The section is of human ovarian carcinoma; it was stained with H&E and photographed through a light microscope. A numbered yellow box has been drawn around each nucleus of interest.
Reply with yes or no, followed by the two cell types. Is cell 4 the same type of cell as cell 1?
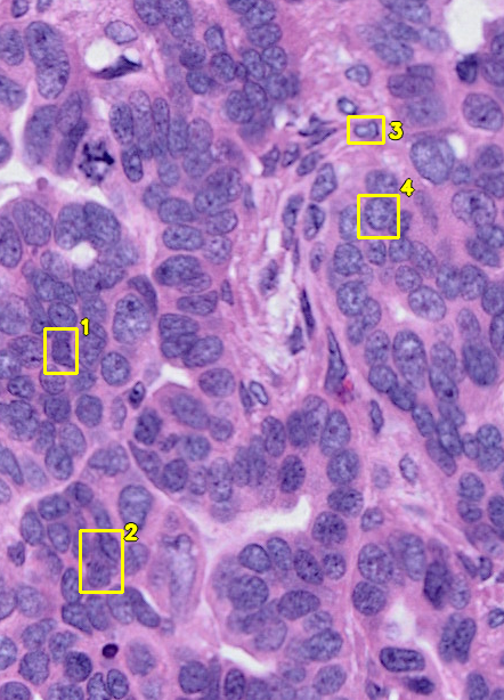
Yes, each of the two cells, 4 and 1, is among the carcinoma cells.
